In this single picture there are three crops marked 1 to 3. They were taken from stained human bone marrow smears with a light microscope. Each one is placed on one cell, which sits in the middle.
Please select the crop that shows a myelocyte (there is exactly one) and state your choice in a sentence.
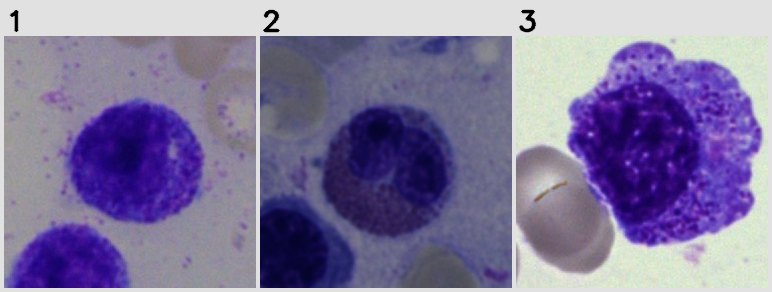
Of these crops, it is crop 1 that shows a myelocyte.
